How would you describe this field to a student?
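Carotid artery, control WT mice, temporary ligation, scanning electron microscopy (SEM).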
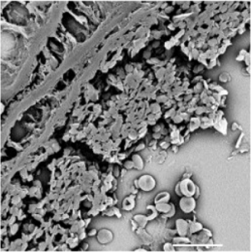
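The arterial wall runs diagonally across the field, and a dense aggregate of closely packed, irregular platelets is attached to it, forming a thrombus that projects into the lumen. Scattered free red blood cells with a biconcave shape lie in the lumen near the thrombus.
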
